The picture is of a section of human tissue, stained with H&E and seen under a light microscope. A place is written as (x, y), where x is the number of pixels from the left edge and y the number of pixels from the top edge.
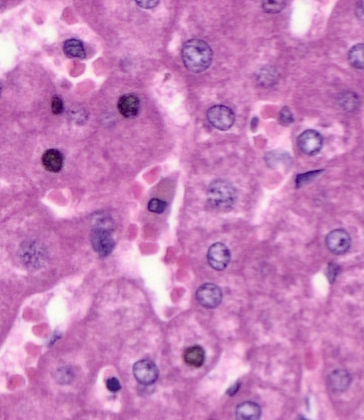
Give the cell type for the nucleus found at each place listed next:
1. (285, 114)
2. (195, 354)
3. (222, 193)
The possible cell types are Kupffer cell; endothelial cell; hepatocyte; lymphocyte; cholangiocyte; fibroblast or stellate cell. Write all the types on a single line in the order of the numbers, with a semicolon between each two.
Kupffer cell; hepatocyte; hepatocyte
